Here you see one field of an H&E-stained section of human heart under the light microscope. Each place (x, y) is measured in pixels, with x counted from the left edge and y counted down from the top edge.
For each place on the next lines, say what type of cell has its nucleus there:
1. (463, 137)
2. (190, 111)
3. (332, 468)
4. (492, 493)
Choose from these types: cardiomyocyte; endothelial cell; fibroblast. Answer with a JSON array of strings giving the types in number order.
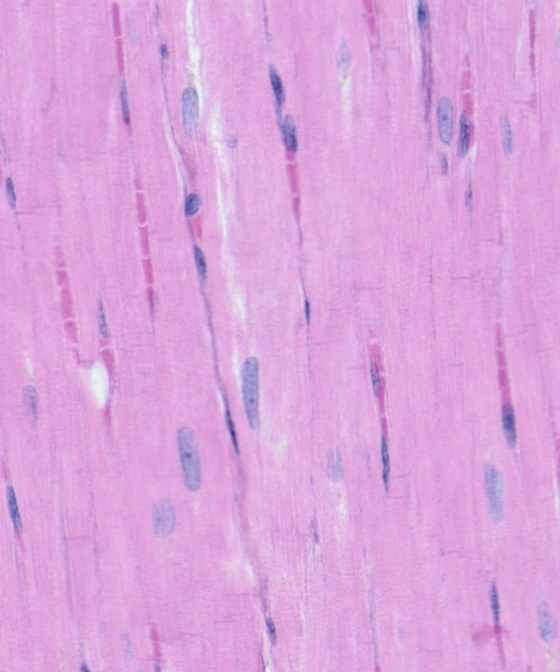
["endothelial cell", "cardiomyocyte", "cardiomyocyte", "cardiomyocyte"]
